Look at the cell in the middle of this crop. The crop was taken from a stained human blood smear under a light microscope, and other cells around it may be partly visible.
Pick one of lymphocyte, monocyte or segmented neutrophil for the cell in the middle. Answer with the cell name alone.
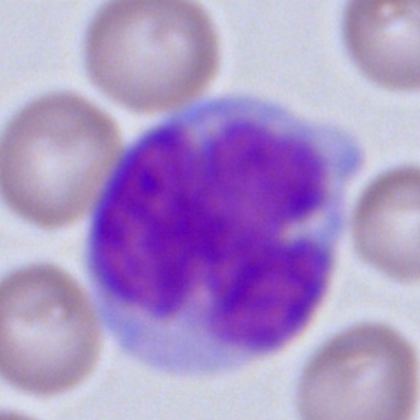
monocyte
